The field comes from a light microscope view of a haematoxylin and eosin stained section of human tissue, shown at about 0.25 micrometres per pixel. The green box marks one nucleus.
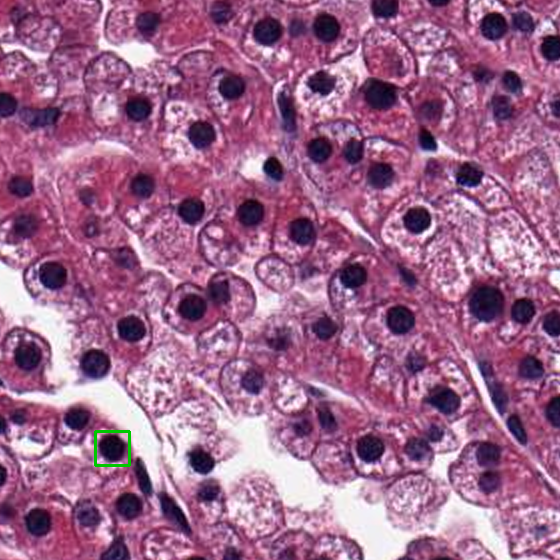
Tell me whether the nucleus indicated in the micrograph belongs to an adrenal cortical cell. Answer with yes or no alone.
yes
